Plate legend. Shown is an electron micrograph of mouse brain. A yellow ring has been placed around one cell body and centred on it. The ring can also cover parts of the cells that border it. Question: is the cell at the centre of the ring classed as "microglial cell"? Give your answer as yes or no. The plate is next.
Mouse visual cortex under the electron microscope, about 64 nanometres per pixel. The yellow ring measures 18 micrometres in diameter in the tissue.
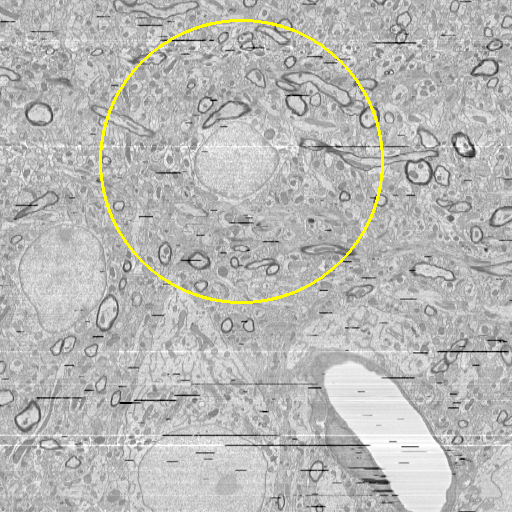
No, the ringed cell is of another kind.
